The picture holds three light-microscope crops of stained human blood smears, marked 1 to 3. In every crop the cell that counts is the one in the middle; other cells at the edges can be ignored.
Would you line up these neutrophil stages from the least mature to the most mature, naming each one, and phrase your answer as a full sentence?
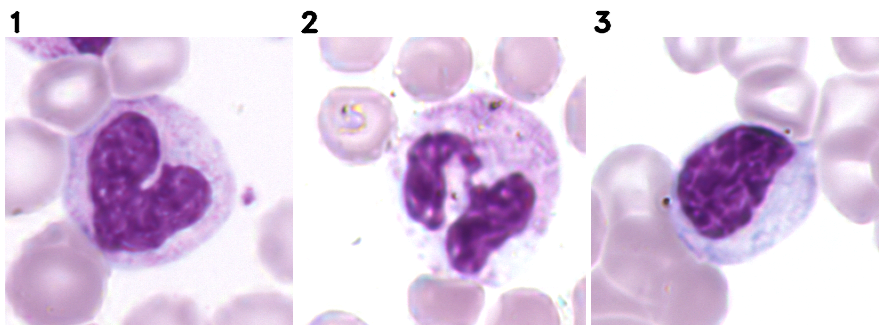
Maturity increases along the sequence crop 3 (a metamyelocyte), crop 1 (a band neutrophil) and crop 2 (a segmented neutrophil).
